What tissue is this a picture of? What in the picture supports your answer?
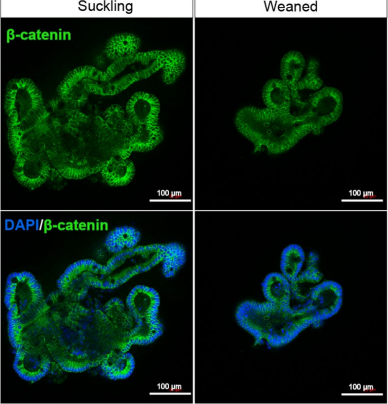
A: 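A free-standing multilobed epithelial structure with several budding protrusions. A single layer of cells with blue nuclei lines the outer rim around a central lumen. On this evidence: enteroids.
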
